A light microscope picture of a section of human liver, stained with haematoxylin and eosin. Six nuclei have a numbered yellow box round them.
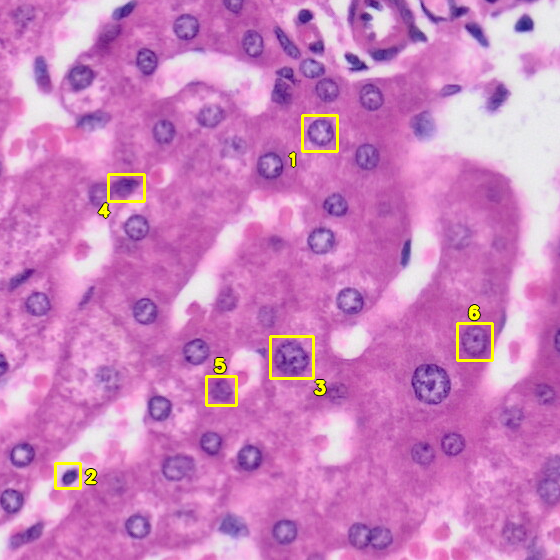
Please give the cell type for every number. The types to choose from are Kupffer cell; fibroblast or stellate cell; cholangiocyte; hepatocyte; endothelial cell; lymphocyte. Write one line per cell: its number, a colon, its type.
1: hepatocyte
2: lymphocyte
3: hepatocyte
4: fibroblast or stellate cell
5: hepatocyte
6: hepatocyte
